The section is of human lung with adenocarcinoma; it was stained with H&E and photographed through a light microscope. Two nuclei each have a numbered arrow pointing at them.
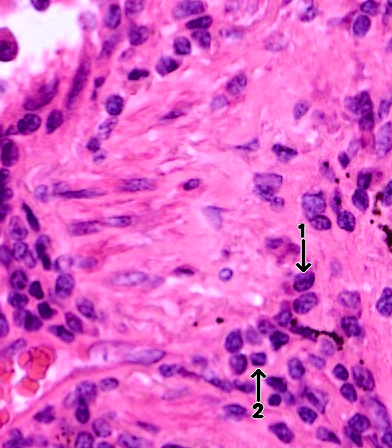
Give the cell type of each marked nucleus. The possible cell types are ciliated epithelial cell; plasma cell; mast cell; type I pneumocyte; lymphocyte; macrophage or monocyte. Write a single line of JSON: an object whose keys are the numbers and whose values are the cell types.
{"1": "plasma cell", "2": "lymphocyte"}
